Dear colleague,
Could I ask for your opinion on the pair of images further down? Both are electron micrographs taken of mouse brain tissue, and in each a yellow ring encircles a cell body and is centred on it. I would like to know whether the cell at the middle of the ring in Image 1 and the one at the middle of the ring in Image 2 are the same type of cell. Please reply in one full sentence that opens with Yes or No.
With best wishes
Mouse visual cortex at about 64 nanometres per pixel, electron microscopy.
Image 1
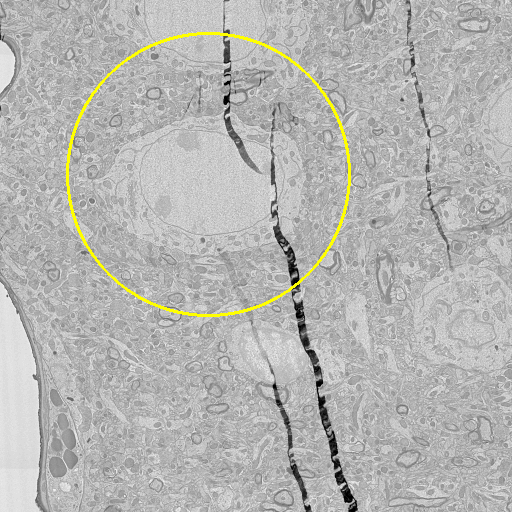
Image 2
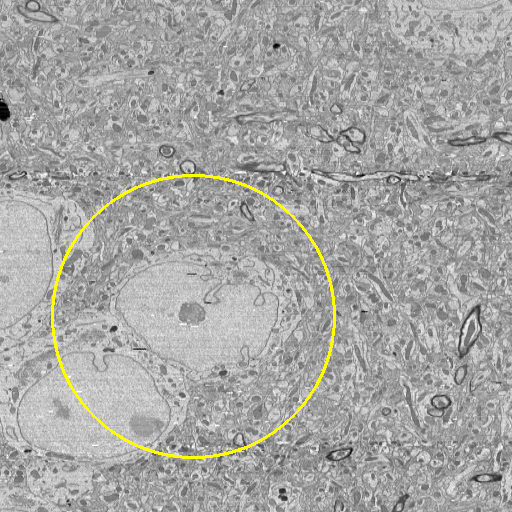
No, the cells at the ring centres in Image 1 and Image 2 are of two types.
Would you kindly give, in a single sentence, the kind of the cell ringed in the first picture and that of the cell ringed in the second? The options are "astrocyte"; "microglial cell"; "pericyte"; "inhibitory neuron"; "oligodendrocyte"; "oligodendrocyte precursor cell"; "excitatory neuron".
The second cell is an inhibitory neuron, and the first cell is an excitatory neuron.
